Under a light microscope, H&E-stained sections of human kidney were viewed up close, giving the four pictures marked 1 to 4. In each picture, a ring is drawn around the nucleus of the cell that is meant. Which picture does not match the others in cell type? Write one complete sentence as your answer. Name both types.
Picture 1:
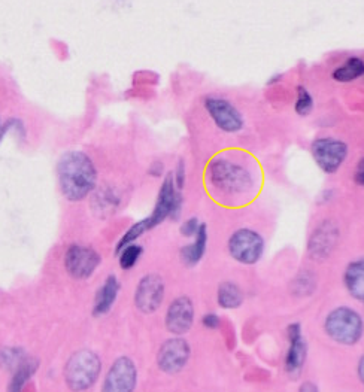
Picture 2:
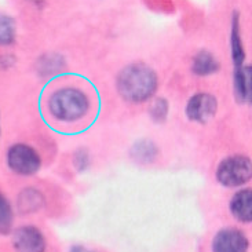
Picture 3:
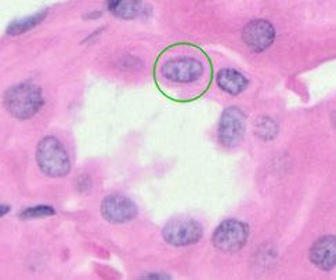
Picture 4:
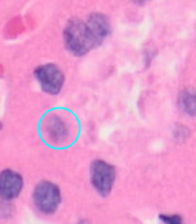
Picture 3 differs, because its cell is a collecting duct cell and the rest are “loop of Henle or distal tubule cells”.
